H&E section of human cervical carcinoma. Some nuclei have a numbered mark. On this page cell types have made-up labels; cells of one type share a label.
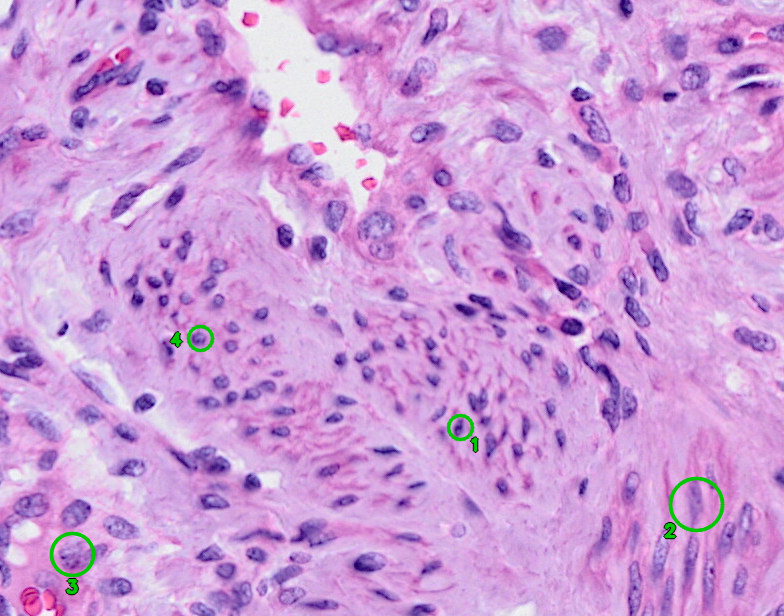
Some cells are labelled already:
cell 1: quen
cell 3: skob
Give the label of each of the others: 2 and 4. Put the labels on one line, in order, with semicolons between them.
quen; quen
